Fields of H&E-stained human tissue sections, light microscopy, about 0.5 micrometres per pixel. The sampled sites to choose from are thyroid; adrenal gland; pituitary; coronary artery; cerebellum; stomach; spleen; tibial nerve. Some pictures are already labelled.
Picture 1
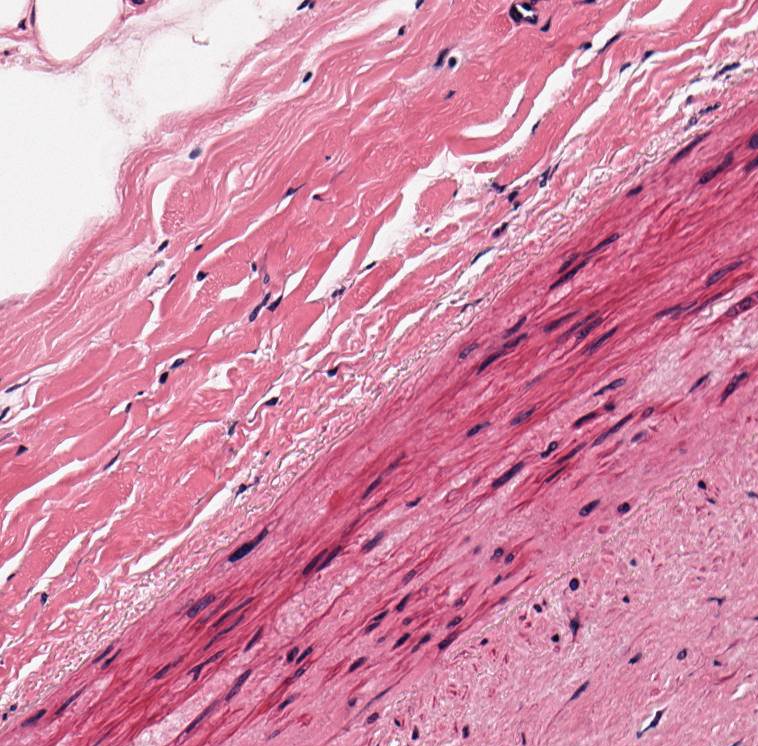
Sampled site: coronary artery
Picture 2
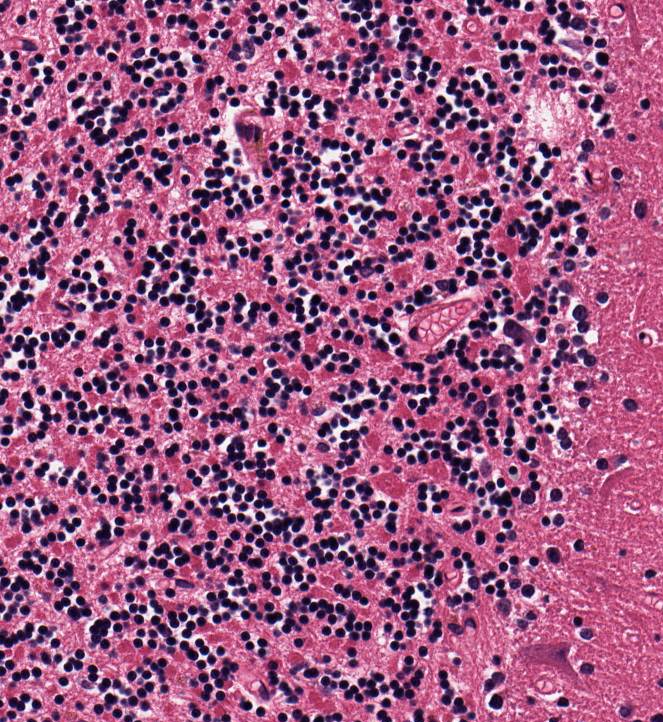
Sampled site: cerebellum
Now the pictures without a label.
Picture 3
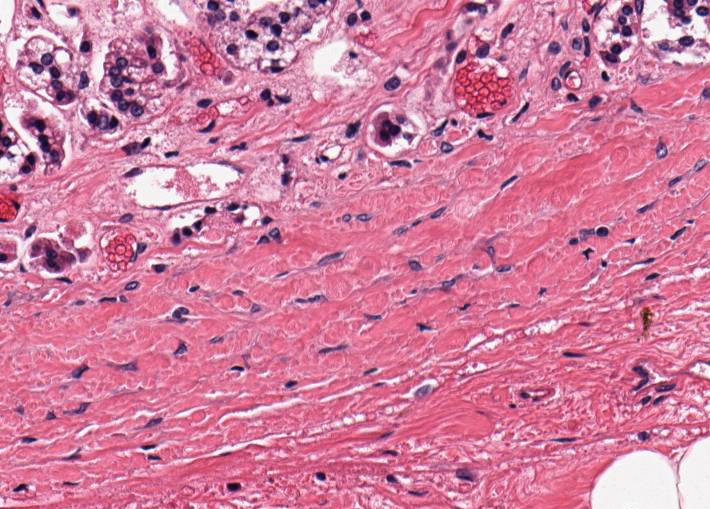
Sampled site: adrenal gland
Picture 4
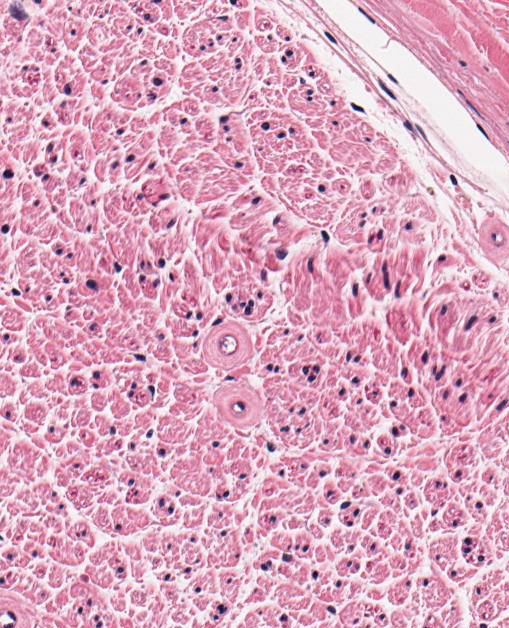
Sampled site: tibial nerve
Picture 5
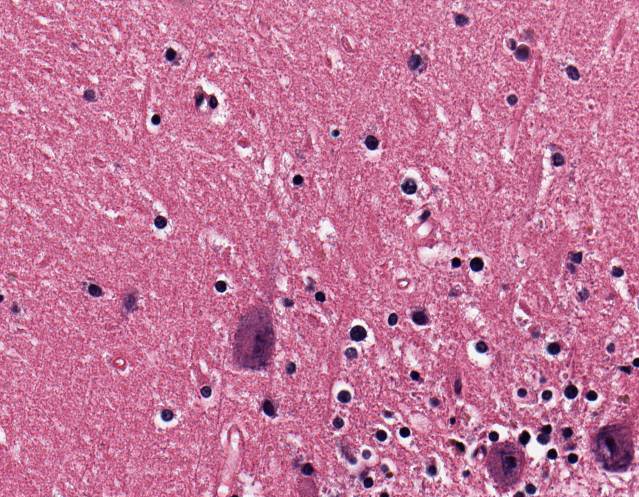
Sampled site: cerebellum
